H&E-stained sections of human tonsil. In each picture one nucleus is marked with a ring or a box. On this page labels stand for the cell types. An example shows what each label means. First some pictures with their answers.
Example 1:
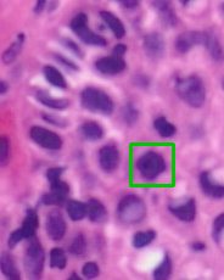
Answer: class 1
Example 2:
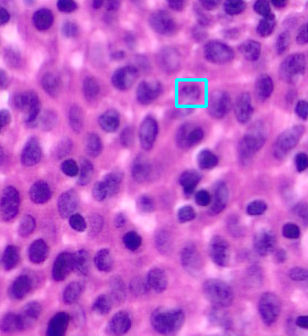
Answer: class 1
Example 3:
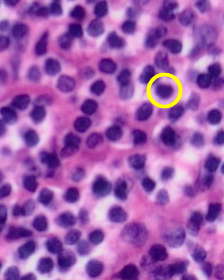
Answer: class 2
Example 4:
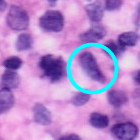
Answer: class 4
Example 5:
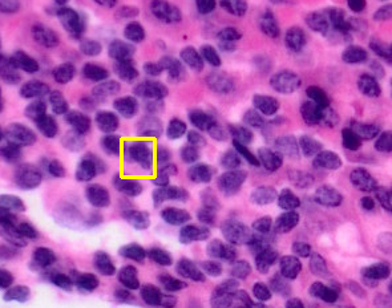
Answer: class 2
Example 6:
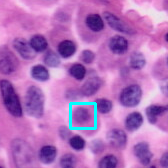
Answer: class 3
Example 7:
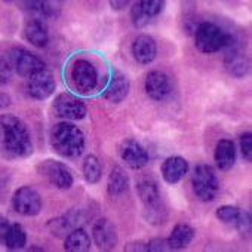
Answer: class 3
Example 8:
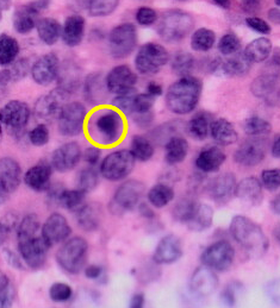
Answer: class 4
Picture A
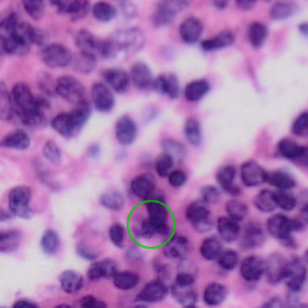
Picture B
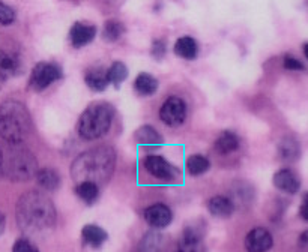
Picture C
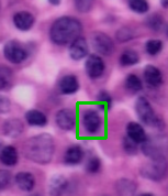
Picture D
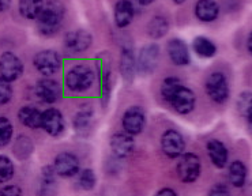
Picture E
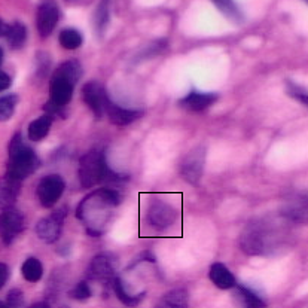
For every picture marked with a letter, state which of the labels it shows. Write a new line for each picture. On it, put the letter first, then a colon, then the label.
A: class 2
B: class 3
C: class 3
D: class 3
E: class 1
